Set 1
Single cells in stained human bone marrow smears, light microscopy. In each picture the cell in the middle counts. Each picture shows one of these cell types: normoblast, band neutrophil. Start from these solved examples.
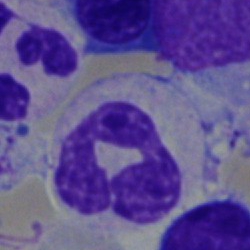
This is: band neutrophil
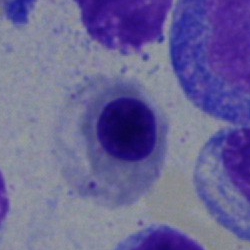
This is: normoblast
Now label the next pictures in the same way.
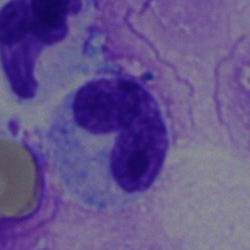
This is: band neutrophil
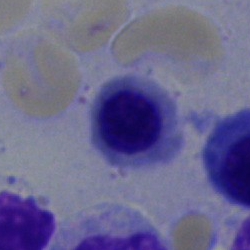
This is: normoblast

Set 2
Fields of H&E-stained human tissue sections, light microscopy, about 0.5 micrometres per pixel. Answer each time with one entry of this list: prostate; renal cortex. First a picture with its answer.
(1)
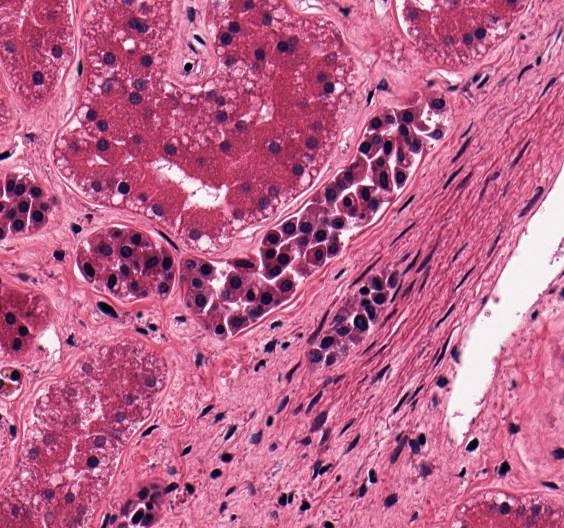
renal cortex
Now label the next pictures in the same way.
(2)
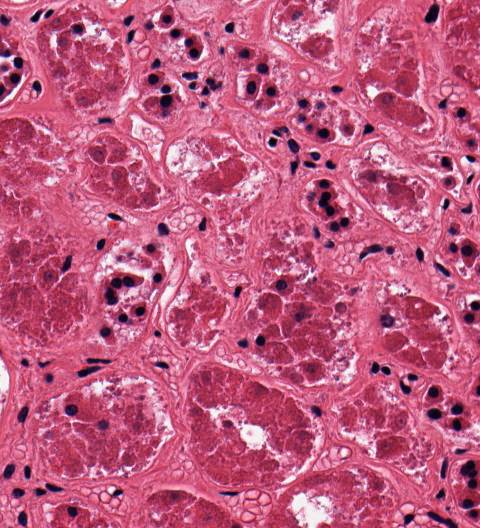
renal cortex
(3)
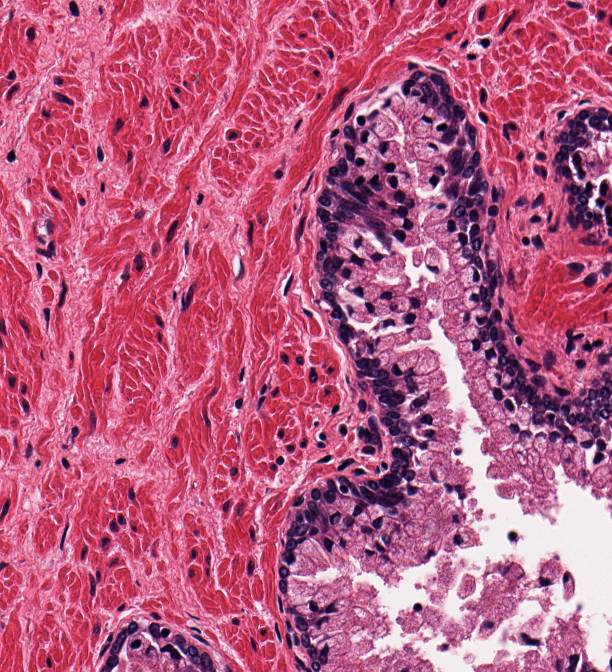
prostate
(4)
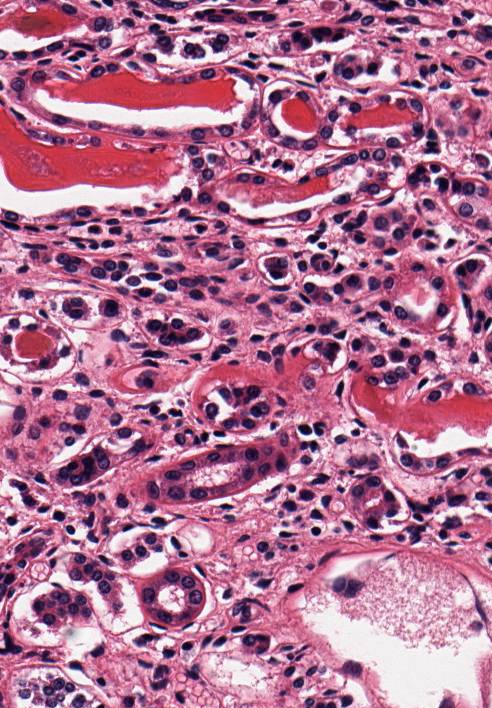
renal cortex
